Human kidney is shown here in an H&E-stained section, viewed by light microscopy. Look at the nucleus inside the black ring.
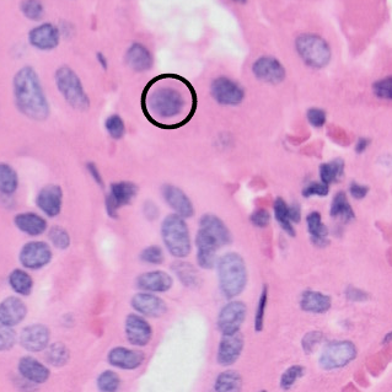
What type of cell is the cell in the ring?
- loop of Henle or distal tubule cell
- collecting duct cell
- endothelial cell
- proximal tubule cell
loop of Henle or distal tubule cell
